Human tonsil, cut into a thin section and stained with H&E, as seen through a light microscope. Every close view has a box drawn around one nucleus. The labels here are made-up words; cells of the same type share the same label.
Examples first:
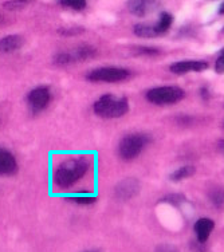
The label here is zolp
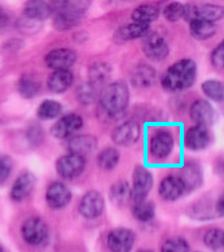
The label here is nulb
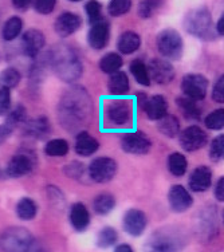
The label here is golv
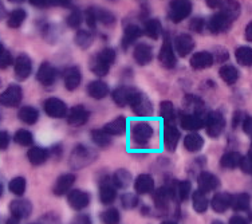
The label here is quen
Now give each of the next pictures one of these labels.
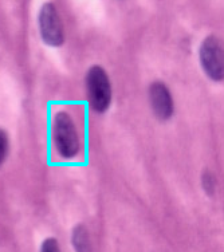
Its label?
zolp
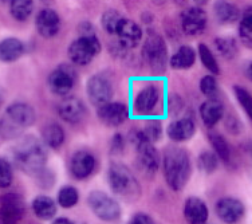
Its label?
nulb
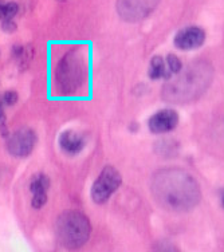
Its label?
zolp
